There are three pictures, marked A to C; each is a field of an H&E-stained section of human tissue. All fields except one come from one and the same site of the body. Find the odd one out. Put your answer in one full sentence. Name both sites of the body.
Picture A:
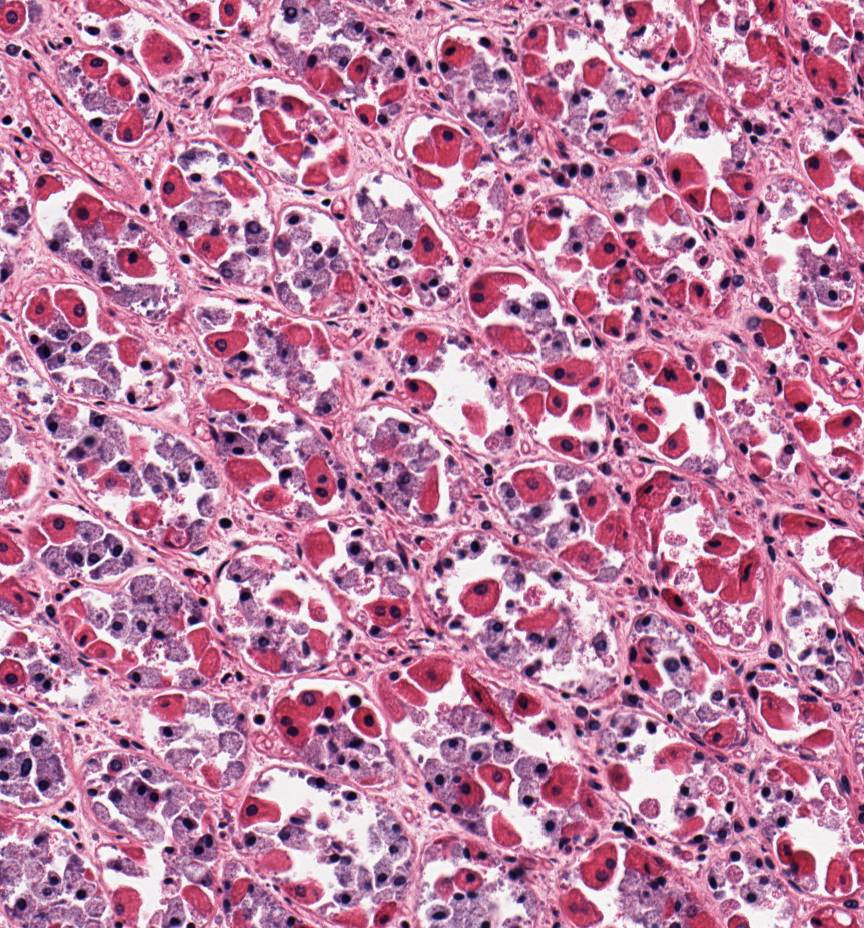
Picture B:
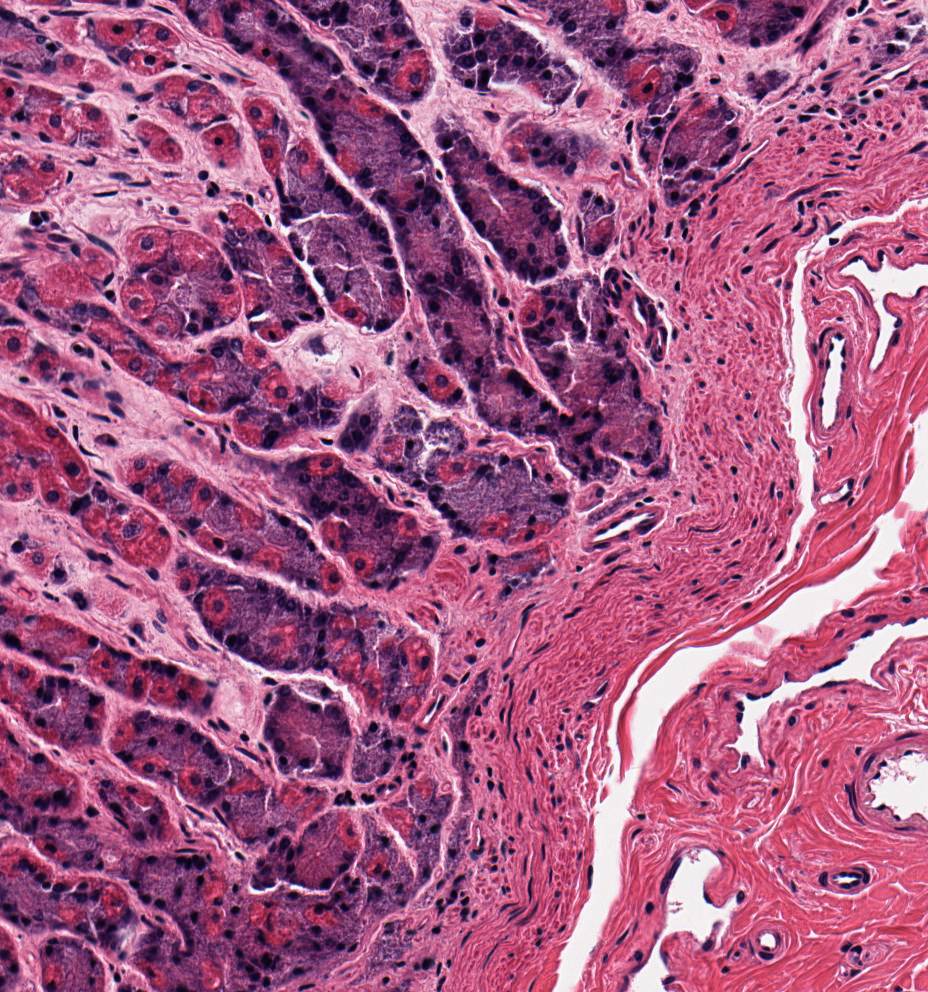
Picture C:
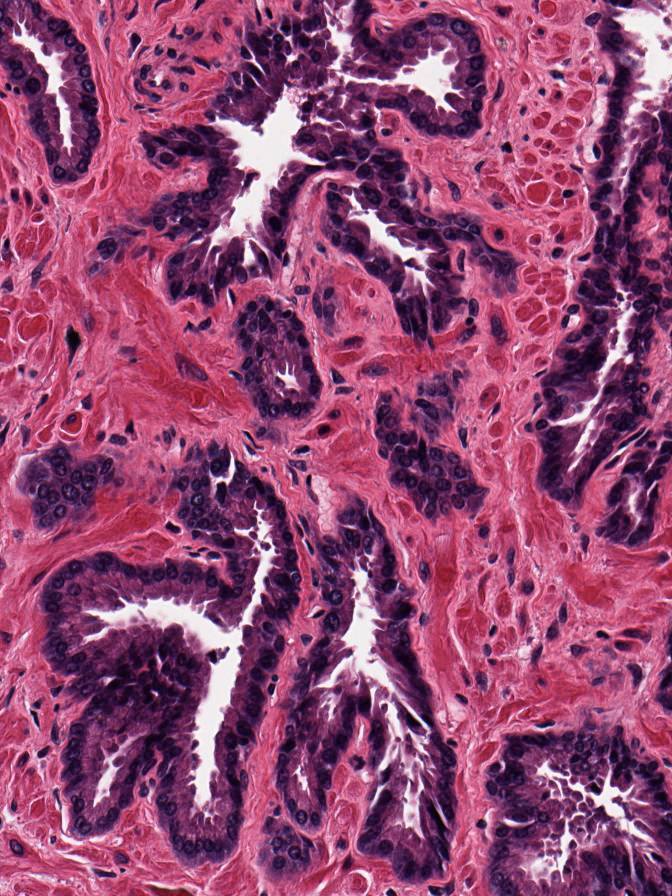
The others come from the stomach, but picture C comes from the prostate.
